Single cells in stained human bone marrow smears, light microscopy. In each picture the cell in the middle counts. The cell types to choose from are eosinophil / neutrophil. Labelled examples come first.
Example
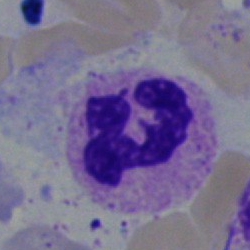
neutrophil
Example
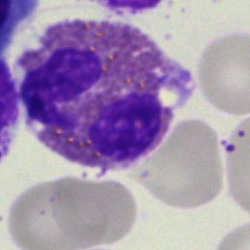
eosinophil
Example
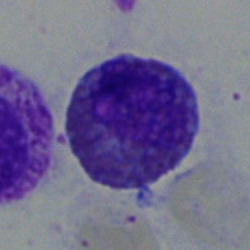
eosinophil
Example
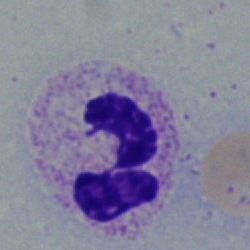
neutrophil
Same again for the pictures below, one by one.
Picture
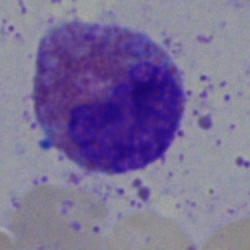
eosinophil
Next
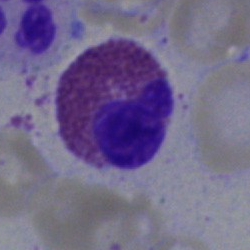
eosinophil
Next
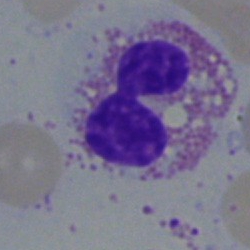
eosinophil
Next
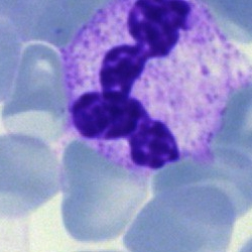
neutrophil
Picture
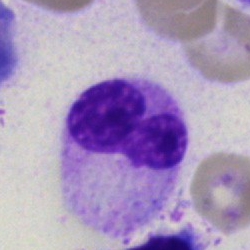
neutrophil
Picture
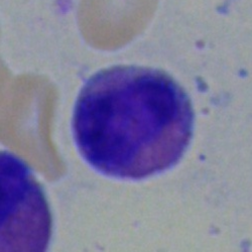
eosinophil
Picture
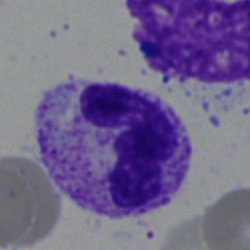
neutrophil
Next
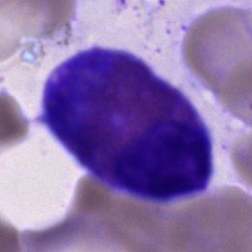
eosinophil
